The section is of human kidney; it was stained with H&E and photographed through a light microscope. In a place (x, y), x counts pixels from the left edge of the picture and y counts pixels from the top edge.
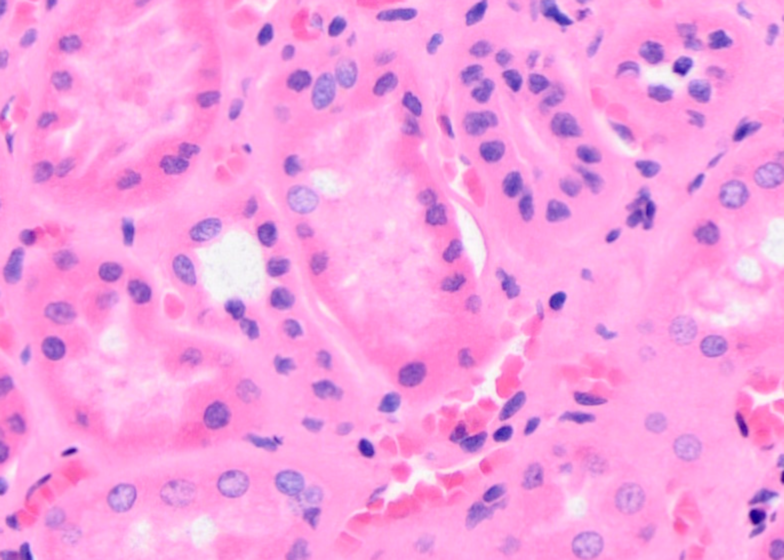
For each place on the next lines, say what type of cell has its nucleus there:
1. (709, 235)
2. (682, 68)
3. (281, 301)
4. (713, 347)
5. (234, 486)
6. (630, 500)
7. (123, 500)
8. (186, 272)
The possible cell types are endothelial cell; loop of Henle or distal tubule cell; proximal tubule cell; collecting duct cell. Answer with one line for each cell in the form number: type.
1: proximal tubule cell
2: loop of Henle or distal tubule cell
3: loop of Henle or distal tubule cell
4: proximal tubule cell
5: proximal tubule cell
6: proximal tubule cell
7: proximal tubule cell
8: loop of Henle or distal tubule cell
